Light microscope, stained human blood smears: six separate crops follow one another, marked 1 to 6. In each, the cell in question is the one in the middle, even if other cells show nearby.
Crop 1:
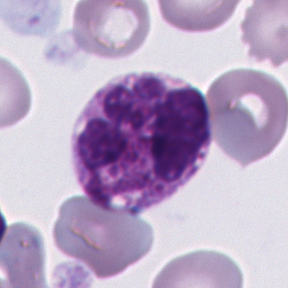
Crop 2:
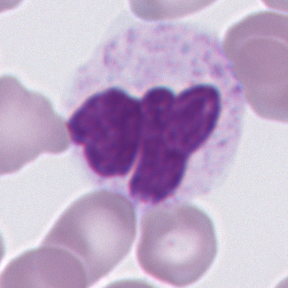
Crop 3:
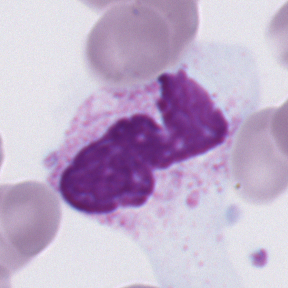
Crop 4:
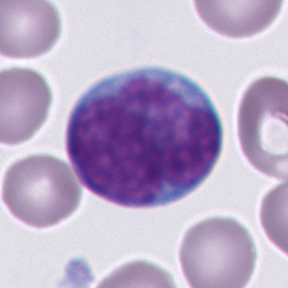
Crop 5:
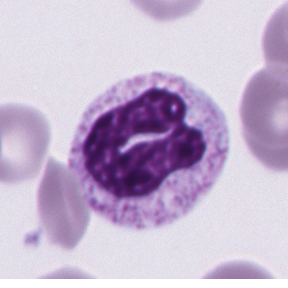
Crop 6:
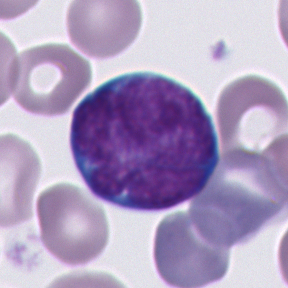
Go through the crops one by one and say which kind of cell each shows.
1: basophil
2: segmented neutrophil
3: segmented neutrophil
4: myeloblast
5: segmented neutrophil
6: myeloblast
